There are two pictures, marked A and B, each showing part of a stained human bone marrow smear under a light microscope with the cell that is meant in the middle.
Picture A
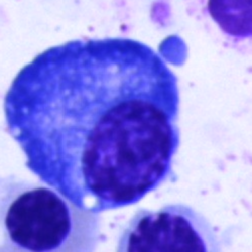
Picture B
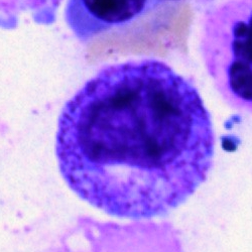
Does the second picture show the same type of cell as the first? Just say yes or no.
no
